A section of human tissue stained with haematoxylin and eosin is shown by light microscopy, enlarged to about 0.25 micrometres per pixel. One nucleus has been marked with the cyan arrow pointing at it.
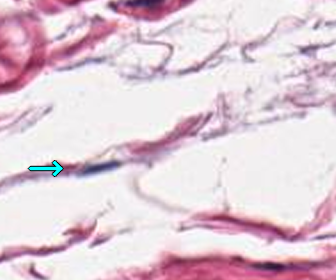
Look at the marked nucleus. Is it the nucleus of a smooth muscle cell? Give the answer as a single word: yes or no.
no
